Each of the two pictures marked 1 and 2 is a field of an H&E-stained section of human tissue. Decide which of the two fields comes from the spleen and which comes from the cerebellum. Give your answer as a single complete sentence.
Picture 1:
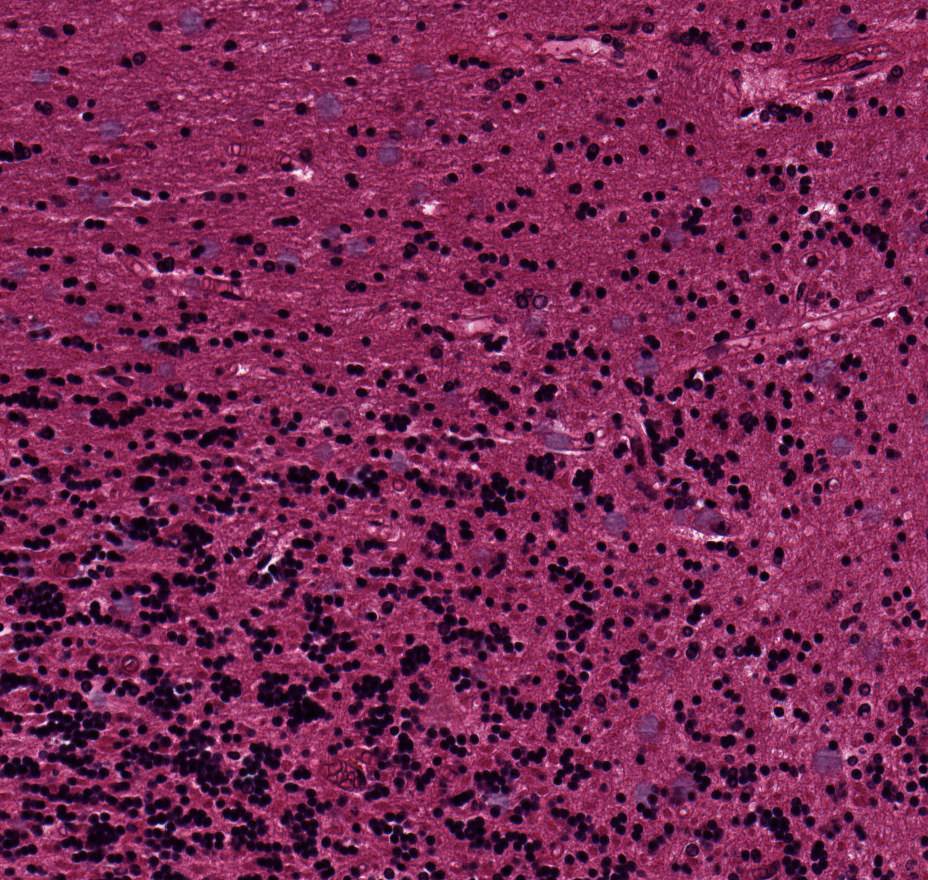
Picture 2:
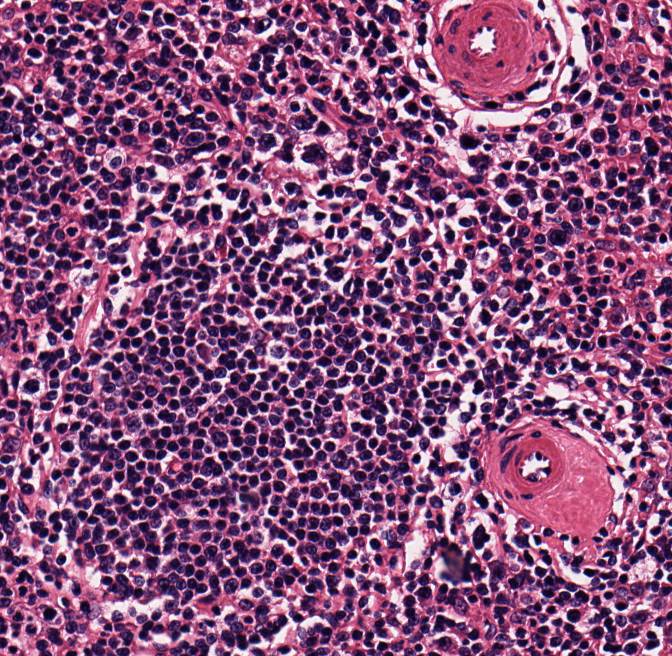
It is picture 1 that comes from the cerebellum, and picture 2 that comes from the spleen.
